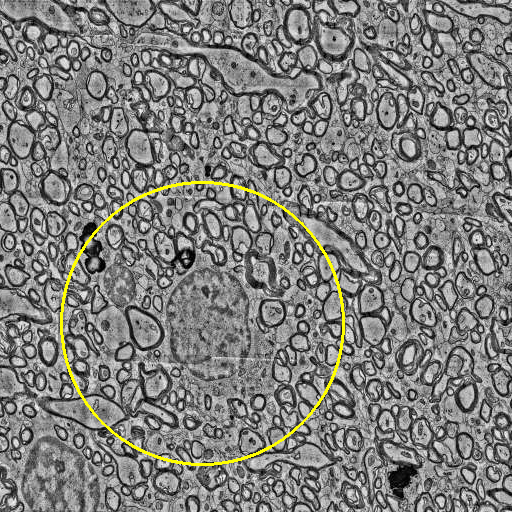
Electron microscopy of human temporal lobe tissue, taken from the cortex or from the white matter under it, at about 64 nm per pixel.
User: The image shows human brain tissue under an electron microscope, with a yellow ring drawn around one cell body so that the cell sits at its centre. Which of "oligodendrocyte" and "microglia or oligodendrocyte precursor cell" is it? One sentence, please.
At the centre of the ring sits an oligodendrocyte.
